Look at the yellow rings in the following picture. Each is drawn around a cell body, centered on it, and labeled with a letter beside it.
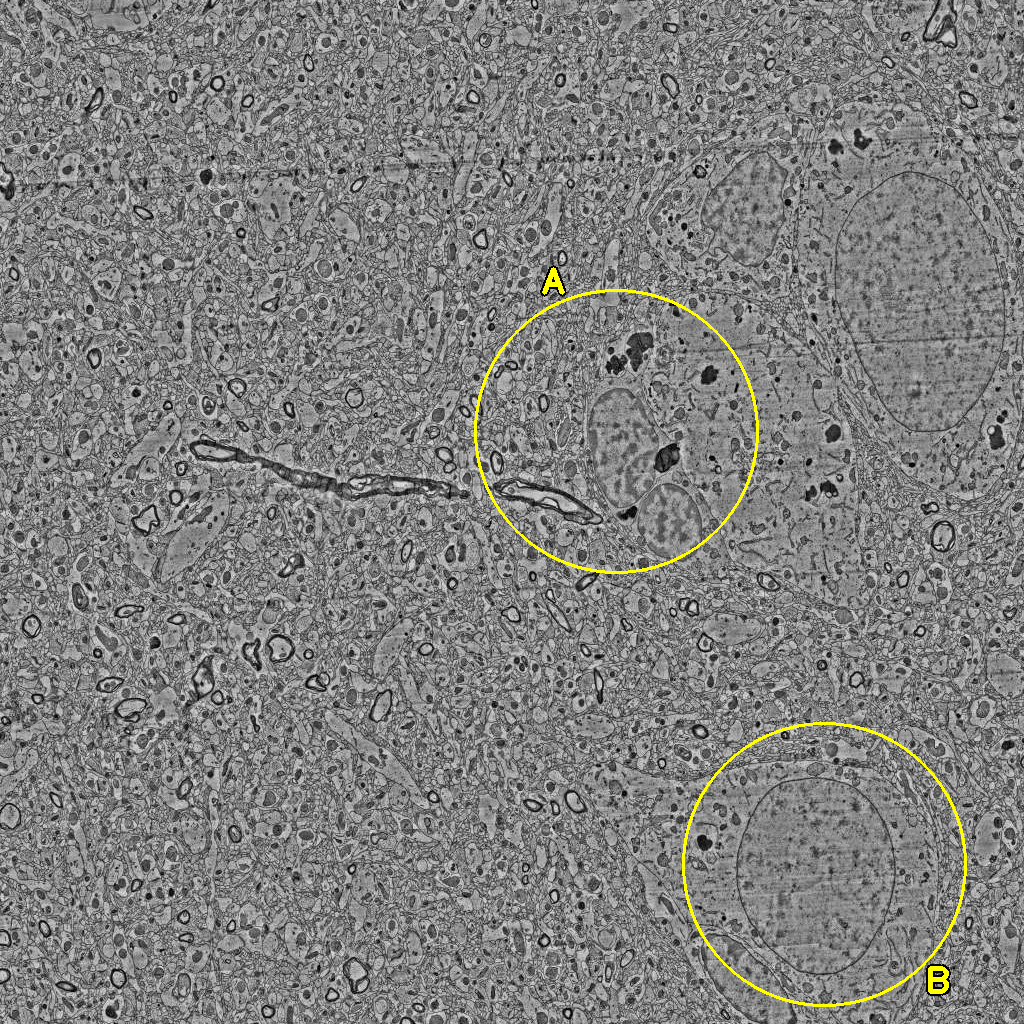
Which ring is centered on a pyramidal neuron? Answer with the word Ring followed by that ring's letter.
Ring B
